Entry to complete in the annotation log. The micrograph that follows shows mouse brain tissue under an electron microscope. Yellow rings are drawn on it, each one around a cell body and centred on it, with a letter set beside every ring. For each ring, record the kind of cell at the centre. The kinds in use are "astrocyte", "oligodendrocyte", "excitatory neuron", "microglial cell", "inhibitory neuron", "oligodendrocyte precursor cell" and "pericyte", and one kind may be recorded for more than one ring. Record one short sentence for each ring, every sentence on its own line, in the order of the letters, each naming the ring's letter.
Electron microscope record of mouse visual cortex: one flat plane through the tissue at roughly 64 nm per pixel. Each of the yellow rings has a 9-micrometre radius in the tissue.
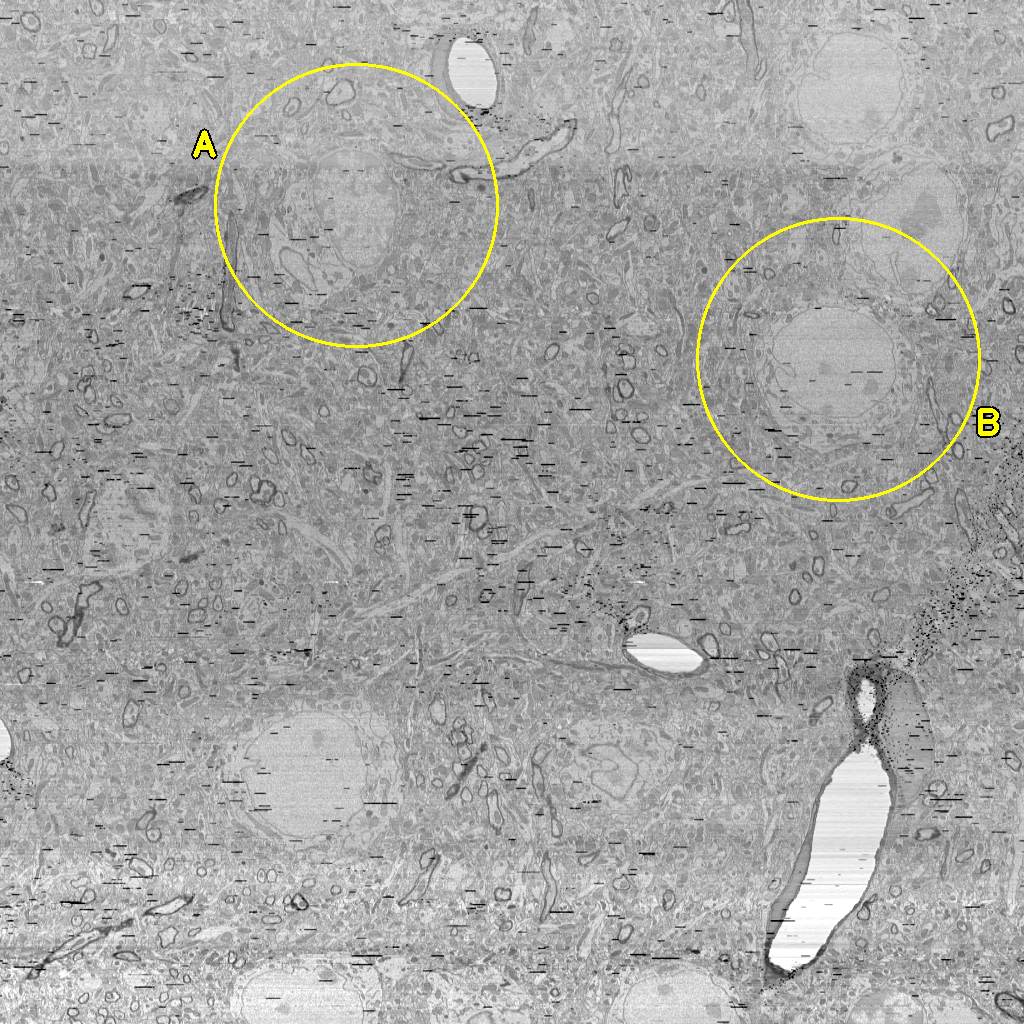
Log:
Ring A is placed around an oligodendrocyte.
Ring B is placed around an excitatory neuron.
